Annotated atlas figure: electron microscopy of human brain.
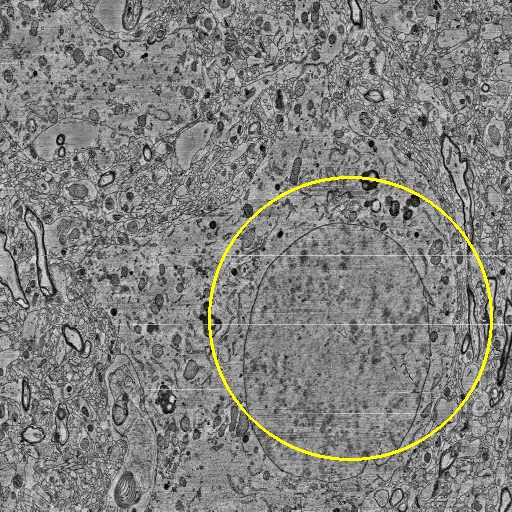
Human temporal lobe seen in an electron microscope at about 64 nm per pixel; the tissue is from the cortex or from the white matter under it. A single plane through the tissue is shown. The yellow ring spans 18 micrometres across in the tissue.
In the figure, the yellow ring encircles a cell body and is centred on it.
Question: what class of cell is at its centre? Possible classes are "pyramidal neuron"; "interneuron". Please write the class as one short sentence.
The yellow ring is drawn around a pyramidal neuron.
